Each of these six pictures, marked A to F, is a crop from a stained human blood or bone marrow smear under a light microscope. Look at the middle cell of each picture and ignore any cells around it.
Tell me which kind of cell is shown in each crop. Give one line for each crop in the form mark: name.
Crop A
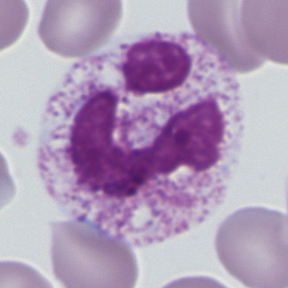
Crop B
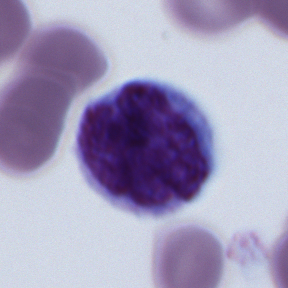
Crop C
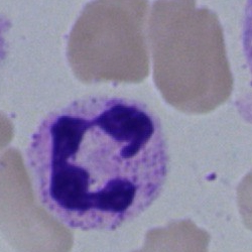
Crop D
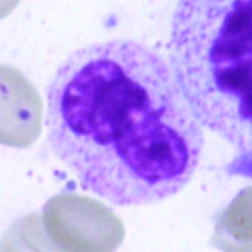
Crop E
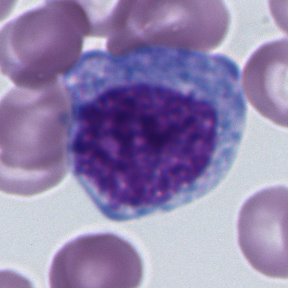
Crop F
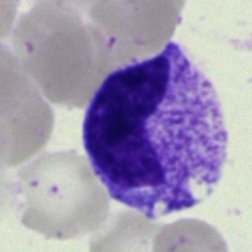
A: segmented neutrophil
B: monocyte
C: segmented neutrophil
D: band neutrophil
E: monocyte
F: band neutrophil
